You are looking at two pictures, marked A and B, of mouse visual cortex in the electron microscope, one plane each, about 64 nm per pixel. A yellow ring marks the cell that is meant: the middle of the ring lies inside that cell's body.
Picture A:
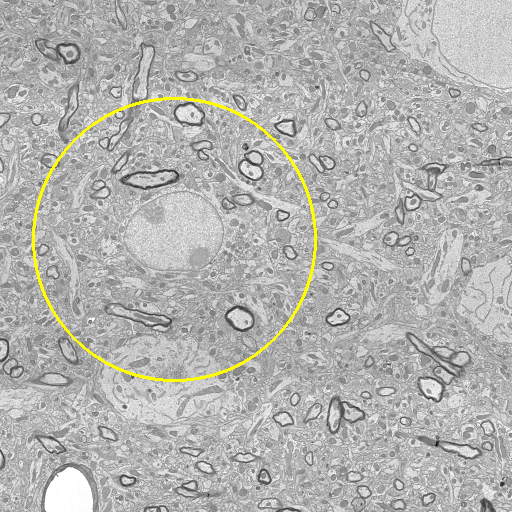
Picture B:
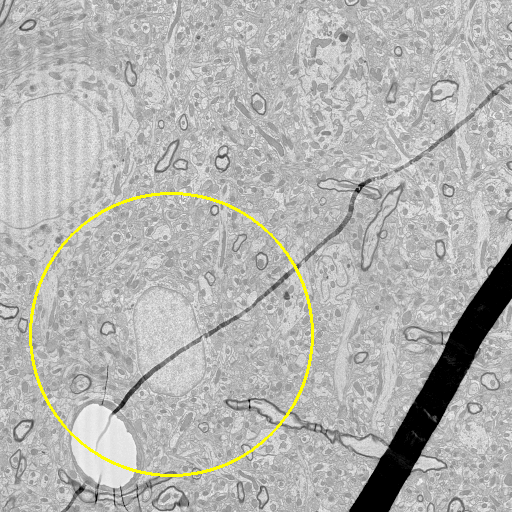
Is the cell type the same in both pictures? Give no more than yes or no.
yes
